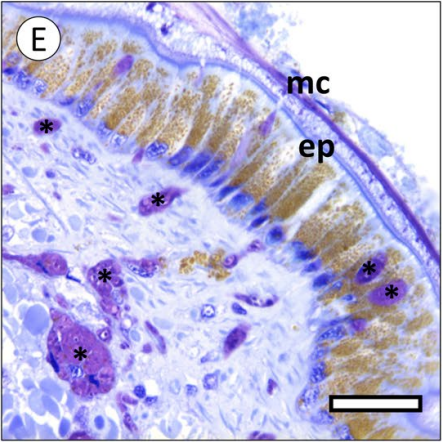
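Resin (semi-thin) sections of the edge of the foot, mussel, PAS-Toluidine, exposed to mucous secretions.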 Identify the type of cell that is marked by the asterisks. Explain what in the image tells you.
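Secretory cells. Asterisks lie on large cells with purple-magenta granular cytoplasm. Such cells sit within the epithelium and in the underlying connective tissue.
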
